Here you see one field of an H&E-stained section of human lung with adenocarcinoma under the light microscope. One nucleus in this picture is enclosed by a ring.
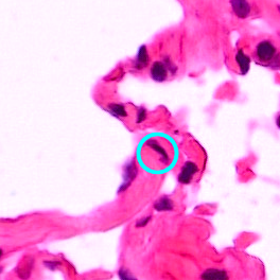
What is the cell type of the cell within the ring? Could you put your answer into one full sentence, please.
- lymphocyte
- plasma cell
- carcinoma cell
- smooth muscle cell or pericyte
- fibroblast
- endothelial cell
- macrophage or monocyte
In the context of this tissue, the cell within the ring is an endothelial cell.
